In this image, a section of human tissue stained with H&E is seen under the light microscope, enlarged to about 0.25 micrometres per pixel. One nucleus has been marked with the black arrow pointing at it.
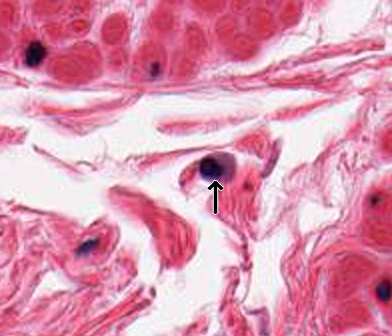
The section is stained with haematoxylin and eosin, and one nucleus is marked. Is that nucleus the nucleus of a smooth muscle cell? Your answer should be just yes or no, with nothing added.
no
